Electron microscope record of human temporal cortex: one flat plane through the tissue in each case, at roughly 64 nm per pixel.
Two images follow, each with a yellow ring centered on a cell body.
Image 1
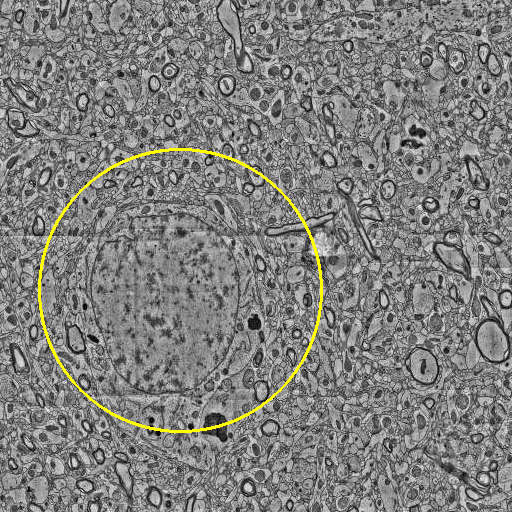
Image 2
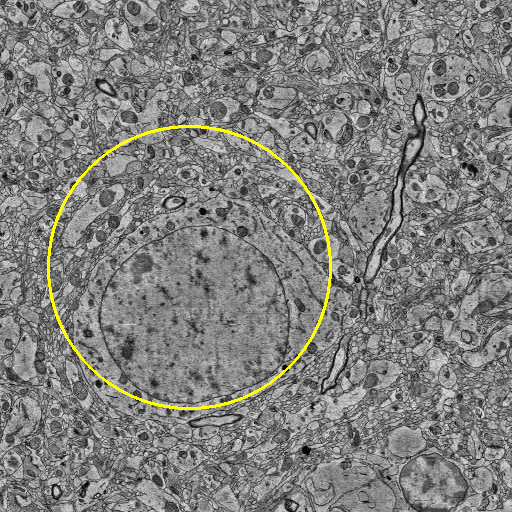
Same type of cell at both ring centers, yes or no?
yes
